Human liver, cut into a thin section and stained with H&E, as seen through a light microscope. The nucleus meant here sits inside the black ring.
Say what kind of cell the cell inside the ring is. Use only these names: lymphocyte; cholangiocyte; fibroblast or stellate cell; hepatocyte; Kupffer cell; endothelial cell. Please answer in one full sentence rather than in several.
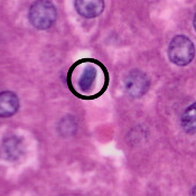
With respect to cell type, the cell inside the ring is a lymphocyte.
